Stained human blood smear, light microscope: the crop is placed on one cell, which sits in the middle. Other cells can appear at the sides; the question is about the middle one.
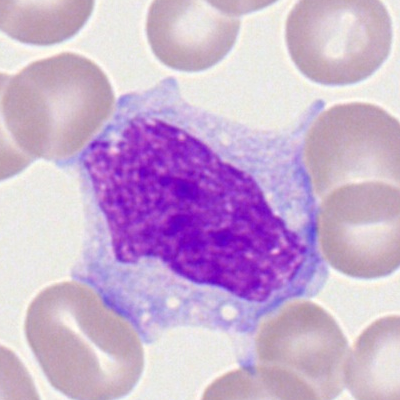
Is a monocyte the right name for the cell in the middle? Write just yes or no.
yes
